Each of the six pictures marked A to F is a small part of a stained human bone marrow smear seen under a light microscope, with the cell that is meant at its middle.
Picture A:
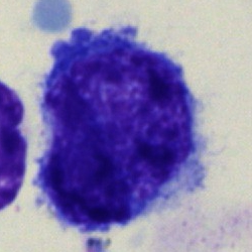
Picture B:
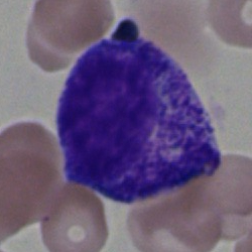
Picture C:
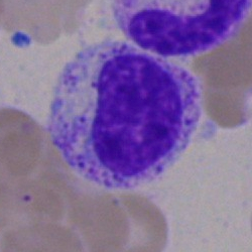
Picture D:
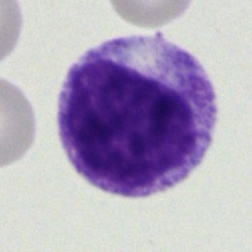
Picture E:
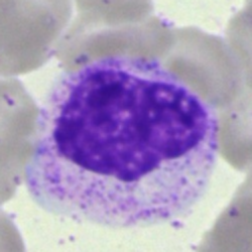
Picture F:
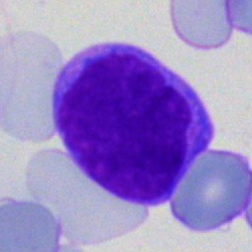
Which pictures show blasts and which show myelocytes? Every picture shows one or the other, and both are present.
A: blast
B: myelocyte
C: myelocyte
D: myelocyte
E: myelocyte
F: blast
